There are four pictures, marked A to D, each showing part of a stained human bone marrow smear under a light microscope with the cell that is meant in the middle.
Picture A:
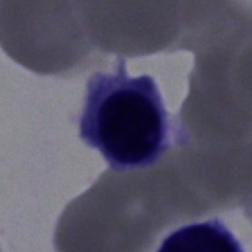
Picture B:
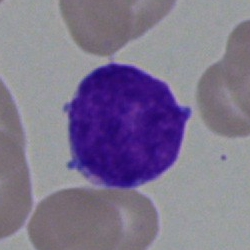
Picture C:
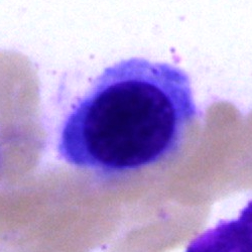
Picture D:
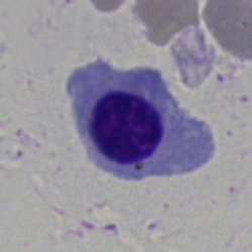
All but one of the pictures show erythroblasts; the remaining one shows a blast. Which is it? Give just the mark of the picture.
B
